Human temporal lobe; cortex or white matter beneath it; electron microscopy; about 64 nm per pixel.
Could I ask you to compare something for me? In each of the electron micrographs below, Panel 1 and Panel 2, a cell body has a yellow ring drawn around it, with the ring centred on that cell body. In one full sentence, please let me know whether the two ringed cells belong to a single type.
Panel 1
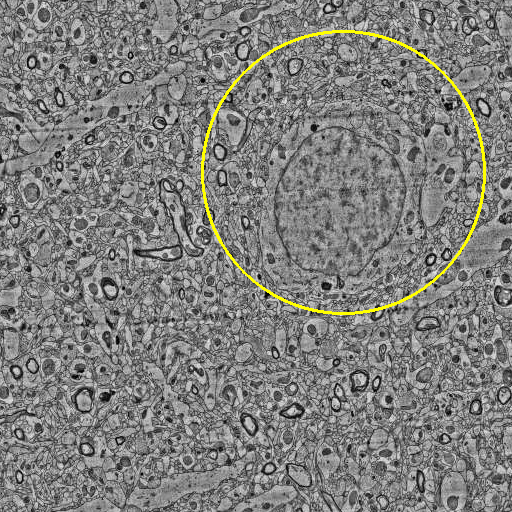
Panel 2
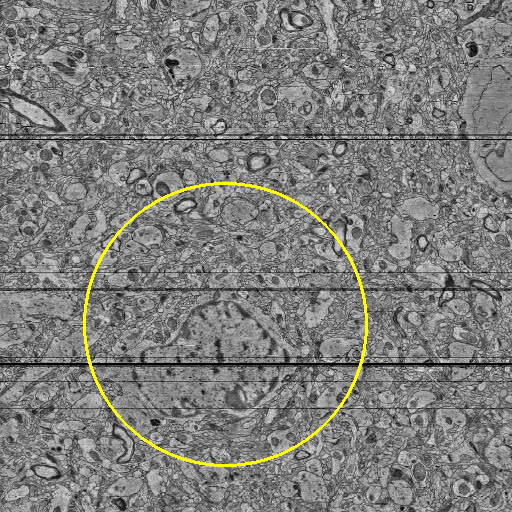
No, the two cells at the centres of the rings are of two types.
